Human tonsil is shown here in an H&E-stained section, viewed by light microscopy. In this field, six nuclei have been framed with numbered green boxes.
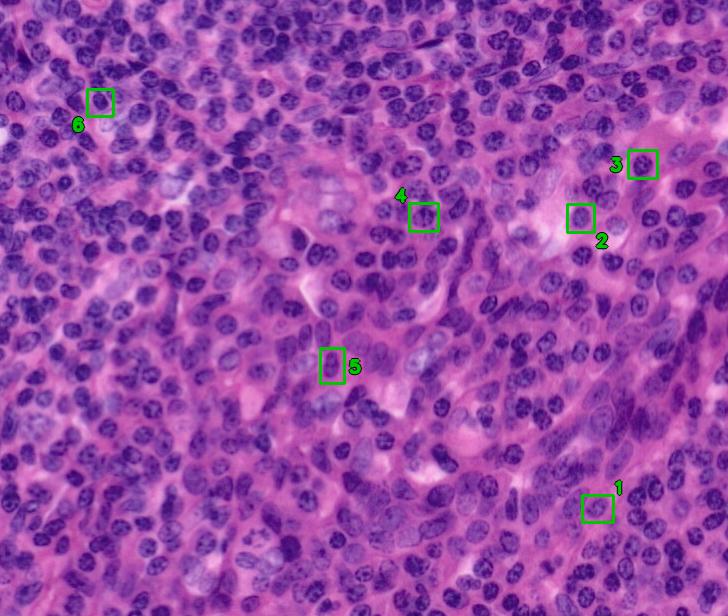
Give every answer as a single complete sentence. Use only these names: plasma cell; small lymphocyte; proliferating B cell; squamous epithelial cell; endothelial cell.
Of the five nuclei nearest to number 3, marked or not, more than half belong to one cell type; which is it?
Around number 3, most of the five nearest nuclei are those of squamous epithelial cells.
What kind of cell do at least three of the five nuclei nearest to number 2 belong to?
The majority of the five nuclei closest to number 2 belong to plasma cells.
